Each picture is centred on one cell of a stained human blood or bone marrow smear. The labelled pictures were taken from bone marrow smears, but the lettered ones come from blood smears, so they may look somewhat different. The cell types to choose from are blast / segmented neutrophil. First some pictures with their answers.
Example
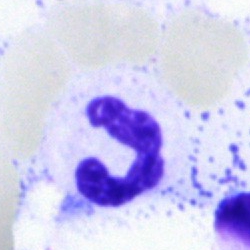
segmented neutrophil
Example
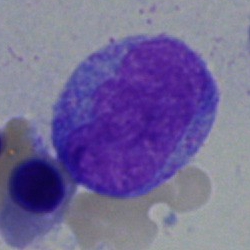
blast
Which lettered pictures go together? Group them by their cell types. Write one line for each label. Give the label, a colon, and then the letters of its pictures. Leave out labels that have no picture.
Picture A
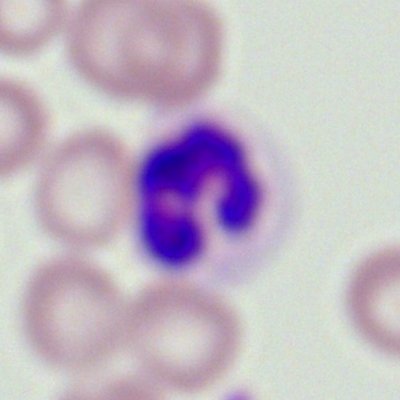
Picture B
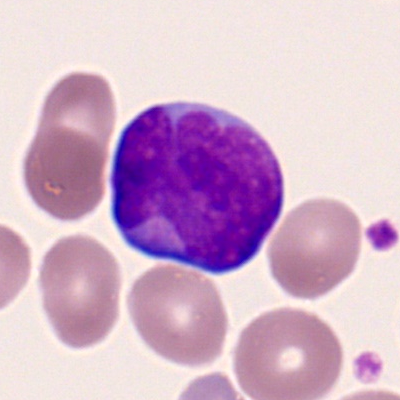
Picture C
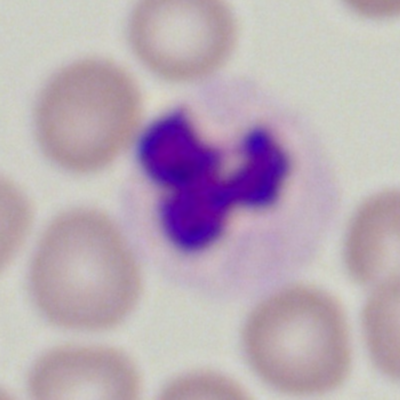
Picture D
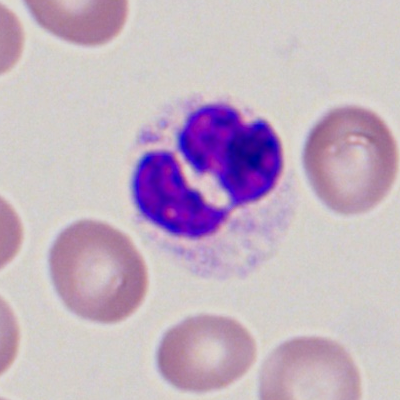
blast: B
segmented neutrophil: A, C, D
